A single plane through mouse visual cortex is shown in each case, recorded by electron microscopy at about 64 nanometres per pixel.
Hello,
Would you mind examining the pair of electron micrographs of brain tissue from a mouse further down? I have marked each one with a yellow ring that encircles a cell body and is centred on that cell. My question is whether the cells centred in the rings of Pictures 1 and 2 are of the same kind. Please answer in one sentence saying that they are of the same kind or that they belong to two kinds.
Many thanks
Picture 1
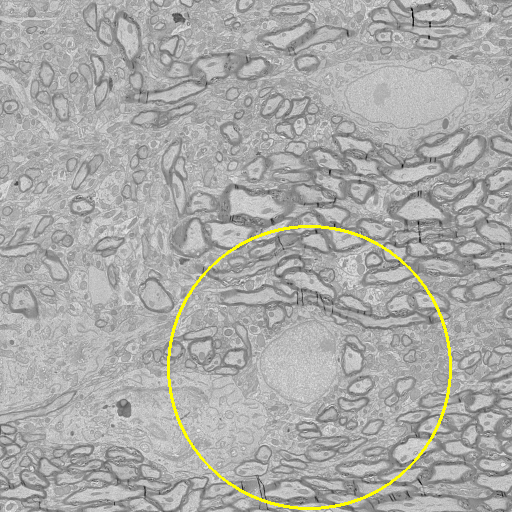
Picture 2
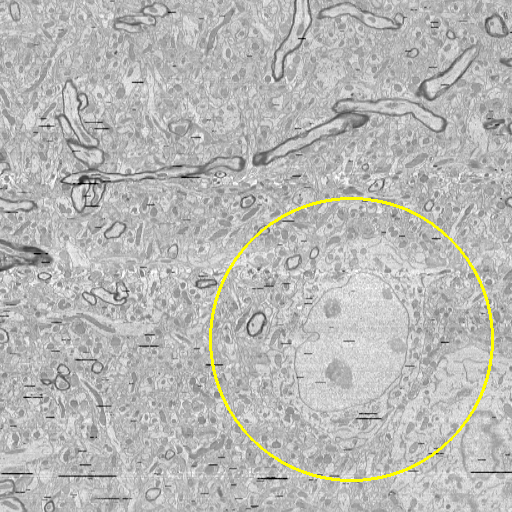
In Pictures 1 and 2, the cells at the heart of the rings belong to two kinds.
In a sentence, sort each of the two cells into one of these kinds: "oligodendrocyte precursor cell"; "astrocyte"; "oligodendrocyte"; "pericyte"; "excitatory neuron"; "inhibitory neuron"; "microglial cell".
The first of the two cells is an astrocyte, and the second is an excitatory neuron.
